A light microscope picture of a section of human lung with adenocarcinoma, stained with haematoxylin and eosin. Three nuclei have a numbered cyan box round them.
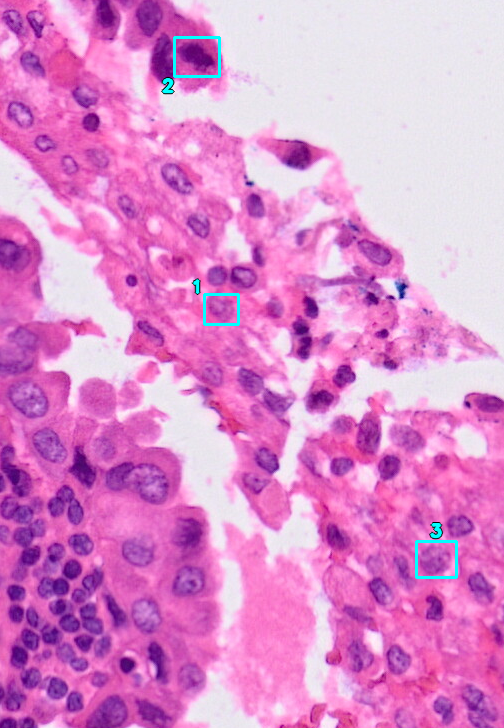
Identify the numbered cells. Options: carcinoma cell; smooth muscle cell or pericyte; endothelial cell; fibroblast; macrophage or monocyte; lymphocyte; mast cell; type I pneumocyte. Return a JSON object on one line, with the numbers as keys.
{"1": "macrophage or monocyte", "2": "carcinoma cell", "3": "macrophage or monocyte"}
